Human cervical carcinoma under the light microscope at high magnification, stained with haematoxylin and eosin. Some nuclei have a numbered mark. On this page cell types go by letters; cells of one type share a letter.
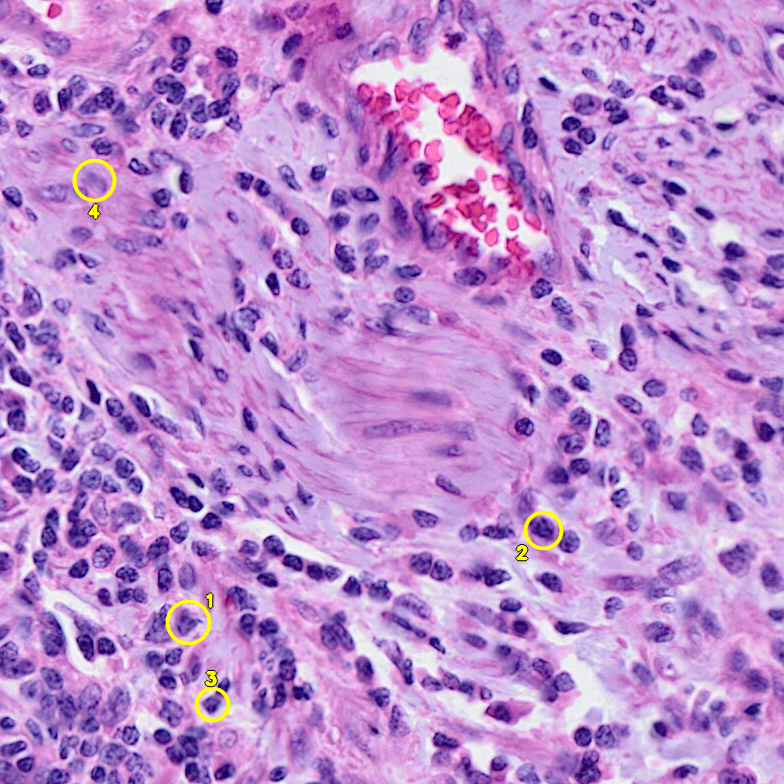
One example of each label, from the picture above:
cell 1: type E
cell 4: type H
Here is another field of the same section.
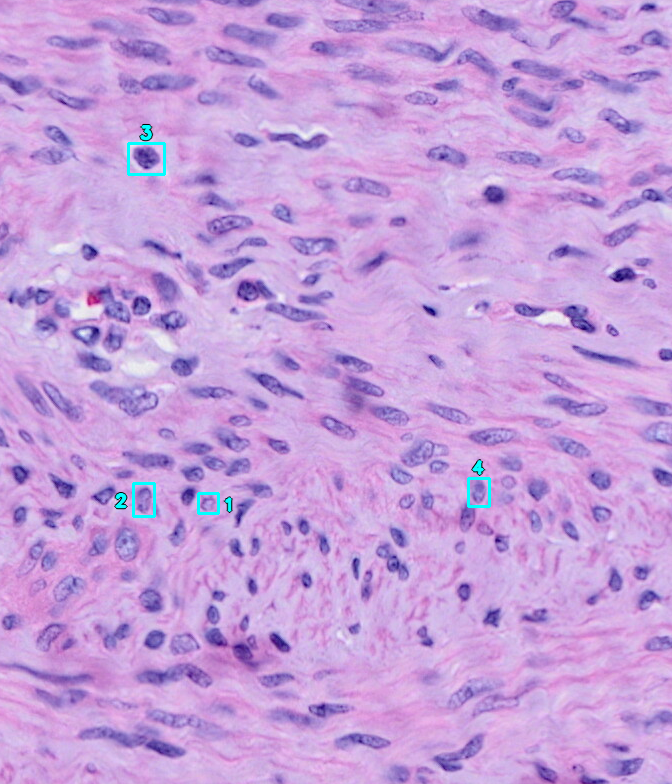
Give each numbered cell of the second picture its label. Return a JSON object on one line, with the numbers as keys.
{"1": "type H", "2": "type H", "3": "type E", "4": "type H"}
